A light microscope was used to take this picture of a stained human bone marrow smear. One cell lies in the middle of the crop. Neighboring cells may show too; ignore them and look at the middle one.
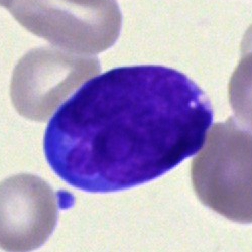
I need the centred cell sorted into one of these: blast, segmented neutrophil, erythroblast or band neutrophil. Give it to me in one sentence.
The cell at the central position in this crop is a blast.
